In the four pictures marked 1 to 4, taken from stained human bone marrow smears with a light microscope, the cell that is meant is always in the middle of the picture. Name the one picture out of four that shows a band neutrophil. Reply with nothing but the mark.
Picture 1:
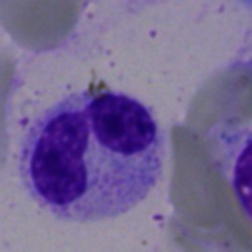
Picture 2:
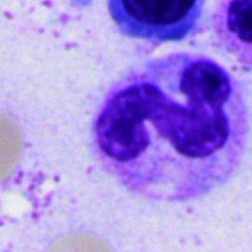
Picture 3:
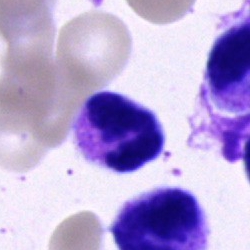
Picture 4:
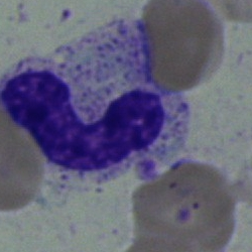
4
